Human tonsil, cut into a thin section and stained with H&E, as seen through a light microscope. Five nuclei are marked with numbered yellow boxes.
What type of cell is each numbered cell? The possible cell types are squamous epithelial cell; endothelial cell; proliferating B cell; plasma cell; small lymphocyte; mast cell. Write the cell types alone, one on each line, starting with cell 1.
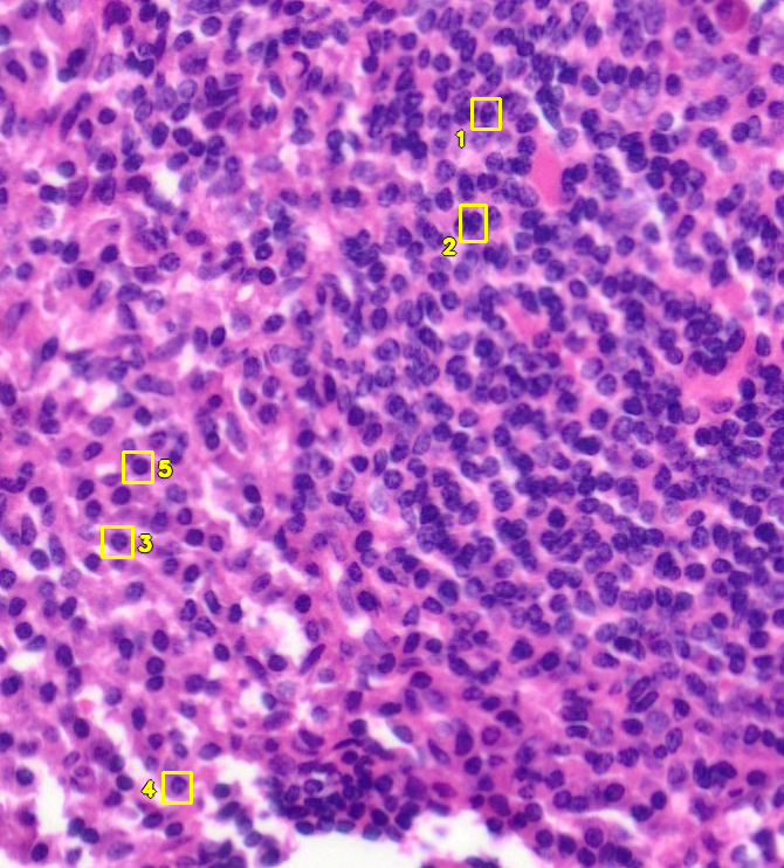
small lymphocyte
small lymphocyte
plasma cell
plasma cell
plasma cell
